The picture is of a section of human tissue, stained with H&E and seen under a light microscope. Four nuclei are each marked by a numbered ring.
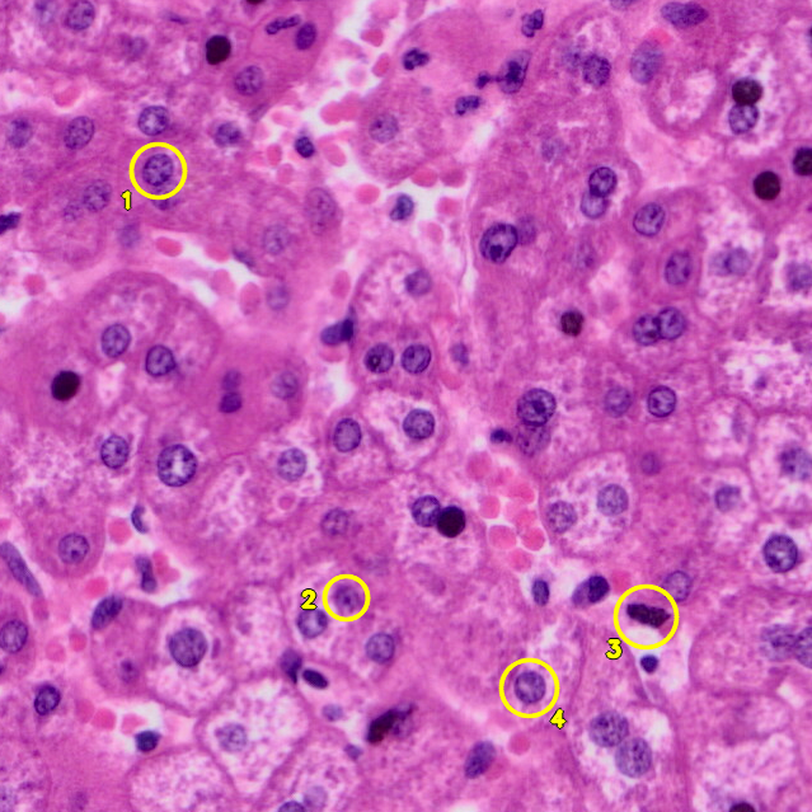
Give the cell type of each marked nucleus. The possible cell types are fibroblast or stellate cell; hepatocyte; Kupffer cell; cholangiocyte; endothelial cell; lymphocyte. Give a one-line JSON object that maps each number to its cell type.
{"1": "hepatocyte", "2": "hepatocyte", "3": "Kupffer cell", "4": "hepatocyte"}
